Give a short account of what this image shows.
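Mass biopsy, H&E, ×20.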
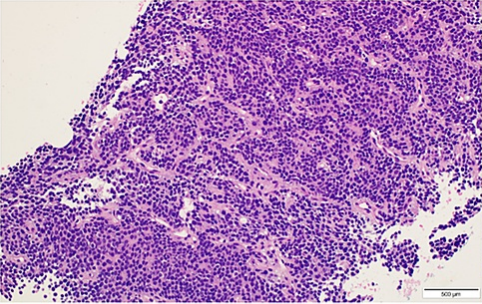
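A densely cellular tumor forms sheets of tightly packed dark-blue nuclei with no recognizable differentiation. Thin pink fibrous strands of stroma run through the sheets, dividing them into bands and nests.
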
